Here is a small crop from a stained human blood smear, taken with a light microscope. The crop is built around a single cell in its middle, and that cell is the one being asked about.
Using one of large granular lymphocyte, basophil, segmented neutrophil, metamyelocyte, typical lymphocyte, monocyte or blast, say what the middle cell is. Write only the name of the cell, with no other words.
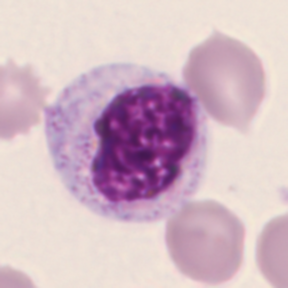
metamyelocyte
